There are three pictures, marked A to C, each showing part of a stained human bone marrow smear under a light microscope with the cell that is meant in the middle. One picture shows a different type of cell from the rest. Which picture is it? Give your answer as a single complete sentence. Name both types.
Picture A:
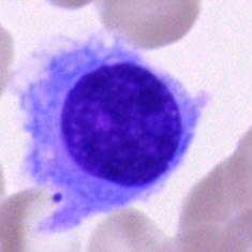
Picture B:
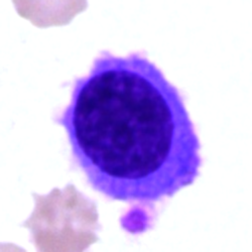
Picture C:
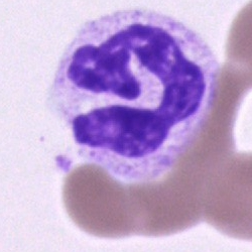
The others show hairy cells, but picture C shows a segmented neutrophil.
